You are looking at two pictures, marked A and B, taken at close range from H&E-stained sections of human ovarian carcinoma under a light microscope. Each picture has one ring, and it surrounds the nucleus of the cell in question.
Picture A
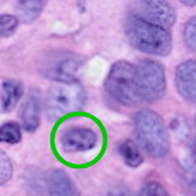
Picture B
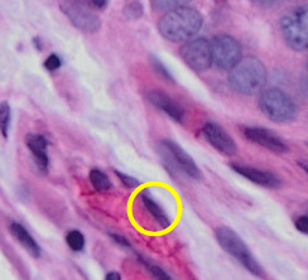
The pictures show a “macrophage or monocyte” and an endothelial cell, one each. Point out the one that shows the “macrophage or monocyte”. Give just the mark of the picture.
A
